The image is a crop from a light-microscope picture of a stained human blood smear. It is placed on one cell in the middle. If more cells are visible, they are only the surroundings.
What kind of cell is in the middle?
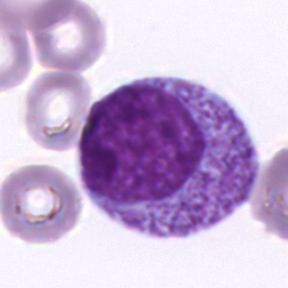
myelocyte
